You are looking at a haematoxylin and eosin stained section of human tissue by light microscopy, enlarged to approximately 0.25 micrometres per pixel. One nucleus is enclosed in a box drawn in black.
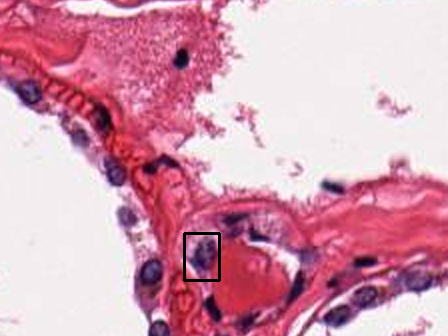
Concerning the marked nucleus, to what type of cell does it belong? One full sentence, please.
The marked nucleus here is the nucleus of a thyroid follicular cell.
